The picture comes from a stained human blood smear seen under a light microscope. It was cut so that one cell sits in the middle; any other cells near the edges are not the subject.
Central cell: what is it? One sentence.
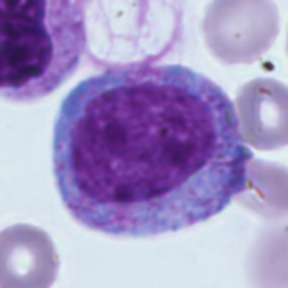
In this smear crop, the middle cell is a promyelocyte.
